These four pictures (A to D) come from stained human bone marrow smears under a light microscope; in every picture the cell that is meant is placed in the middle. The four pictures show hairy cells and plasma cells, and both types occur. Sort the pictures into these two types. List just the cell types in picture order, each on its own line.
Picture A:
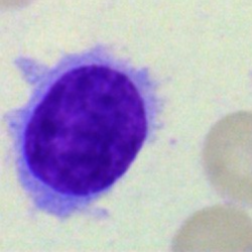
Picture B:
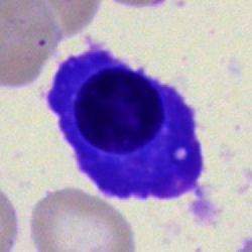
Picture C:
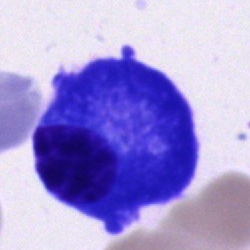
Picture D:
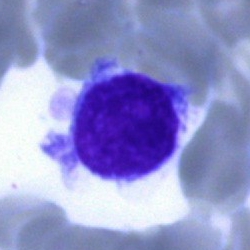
hairy cell
plasma cell
plasma cell
hairy cell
